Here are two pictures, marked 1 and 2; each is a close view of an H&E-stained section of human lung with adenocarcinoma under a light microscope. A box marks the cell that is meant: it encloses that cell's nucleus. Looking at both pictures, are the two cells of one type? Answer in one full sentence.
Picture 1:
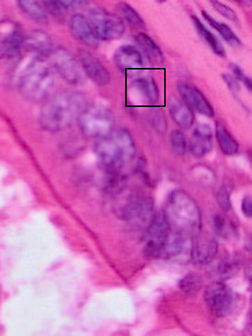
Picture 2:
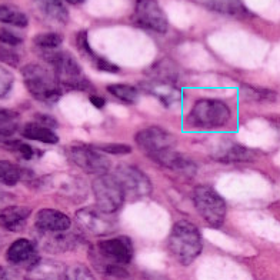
Yes; the cells in both pictures are ciliated epithelial cells.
